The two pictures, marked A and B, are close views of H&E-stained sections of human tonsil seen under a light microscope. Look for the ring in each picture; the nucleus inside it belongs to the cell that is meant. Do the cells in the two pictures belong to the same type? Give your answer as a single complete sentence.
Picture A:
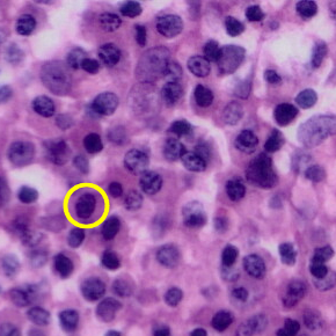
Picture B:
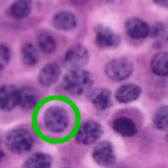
Yes, both cells are plasma cells.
